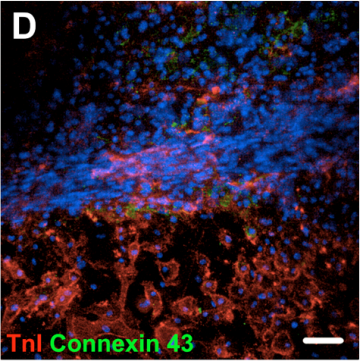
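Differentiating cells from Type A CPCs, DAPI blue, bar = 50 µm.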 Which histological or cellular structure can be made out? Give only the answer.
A: Multi-layered tissue structure resembling muscle fibers.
